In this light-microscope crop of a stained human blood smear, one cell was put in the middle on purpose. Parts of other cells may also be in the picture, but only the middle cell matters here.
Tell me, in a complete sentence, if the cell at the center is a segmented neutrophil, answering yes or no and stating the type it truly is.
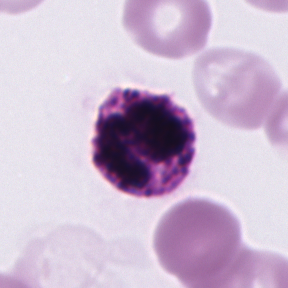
No, the central cell is a basophil, not a segmented neutrophil.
